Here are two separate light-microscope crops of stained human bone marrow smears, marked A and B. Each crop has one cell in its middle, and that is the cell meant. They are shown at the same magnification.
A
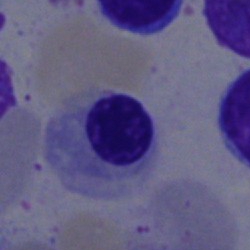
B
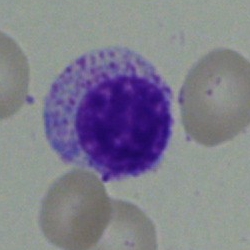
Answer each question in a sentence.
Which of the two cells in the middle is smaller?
The cell in crop A is smaller; the one in crop B has about 1.5 times its area.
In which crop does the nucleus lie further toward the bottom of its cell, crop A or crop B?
It is the nucleus in crop B that lies further toward the bottom of its cell.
